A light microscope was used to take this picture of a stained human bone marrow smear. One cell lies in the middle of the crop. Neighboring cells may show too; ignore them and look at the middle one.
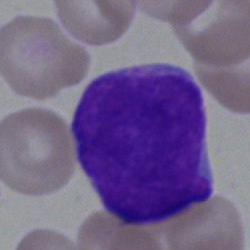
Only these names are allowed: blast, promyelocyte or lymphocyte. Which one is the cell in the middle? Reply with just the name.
blast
